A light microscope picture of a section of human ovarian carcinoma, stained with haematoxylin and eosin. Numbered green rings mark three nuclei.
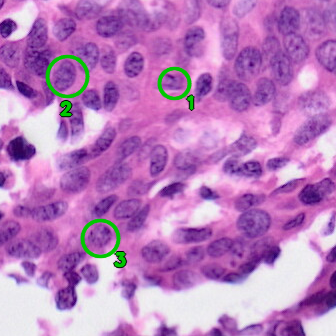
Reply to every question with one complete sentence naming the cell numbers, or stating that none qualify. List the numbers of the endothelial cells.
The cell bearing the number 1 is an endothelial cell, unlike the rest of the numbered cells.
